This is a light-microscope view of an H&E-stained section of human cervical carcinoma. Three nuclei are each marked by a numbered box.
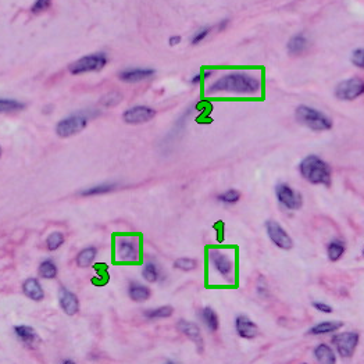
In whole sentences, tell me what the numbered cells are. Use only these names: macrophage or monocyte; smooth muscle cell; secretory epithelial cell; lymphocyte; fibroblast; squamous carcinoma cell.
Cell 1 is a smooth muscle cell, cell 2 is a fibroblast and cell 3 is a smooth muscle cell.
